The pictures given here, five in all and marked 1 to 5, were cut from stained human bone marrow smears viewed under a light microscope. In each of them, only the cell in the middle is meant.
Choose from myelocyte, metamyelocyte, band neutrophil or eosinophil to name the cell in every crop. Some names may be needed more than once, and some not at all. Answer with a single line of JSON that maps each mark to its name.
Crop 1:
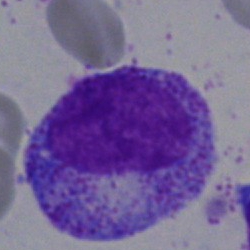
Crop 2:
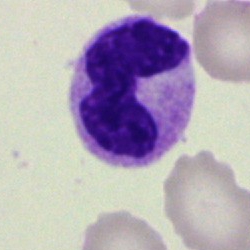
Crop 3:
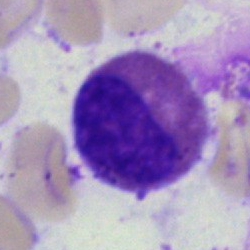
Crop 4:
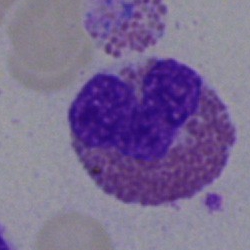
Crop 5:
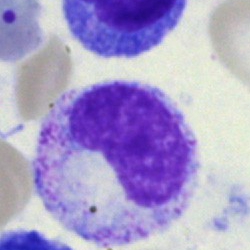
{"1": "myelocyte", "2": "band neutrophil", "3": "eosinophil", "4": "eosinophil", "5": "metamyelocyte"}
